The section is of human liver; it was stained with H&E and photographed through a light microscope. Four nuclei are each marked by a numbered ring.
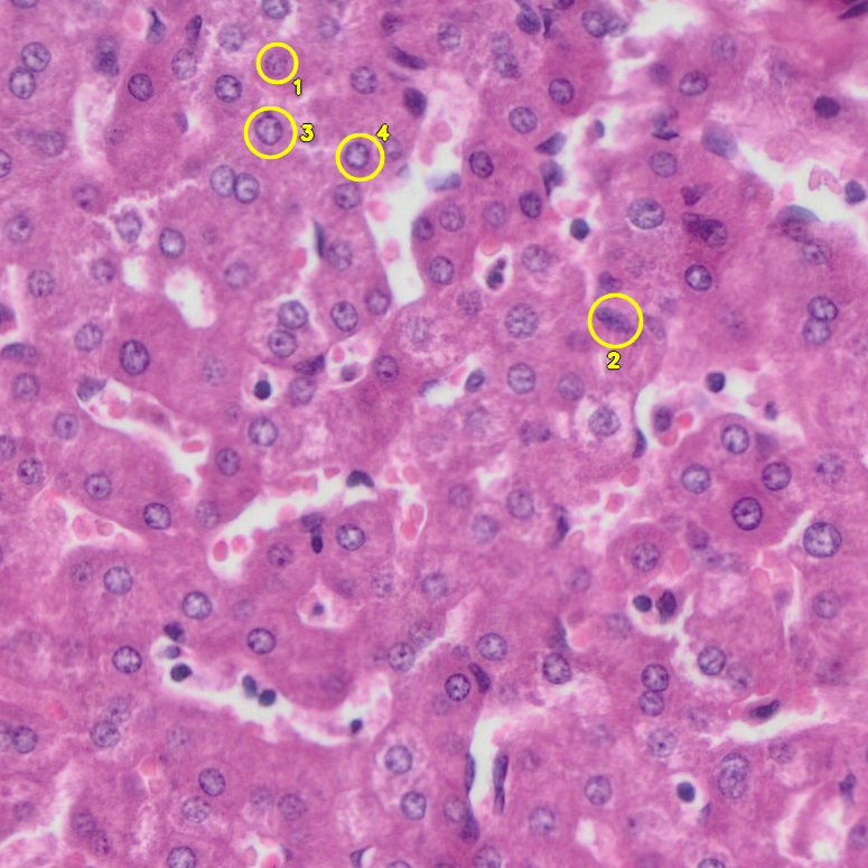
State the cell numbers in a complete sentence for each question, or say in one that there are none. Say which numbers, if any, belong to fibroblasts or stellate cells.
The numbered cell that is a fibroblast or stellate cell is cell 2, and it is the only one.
